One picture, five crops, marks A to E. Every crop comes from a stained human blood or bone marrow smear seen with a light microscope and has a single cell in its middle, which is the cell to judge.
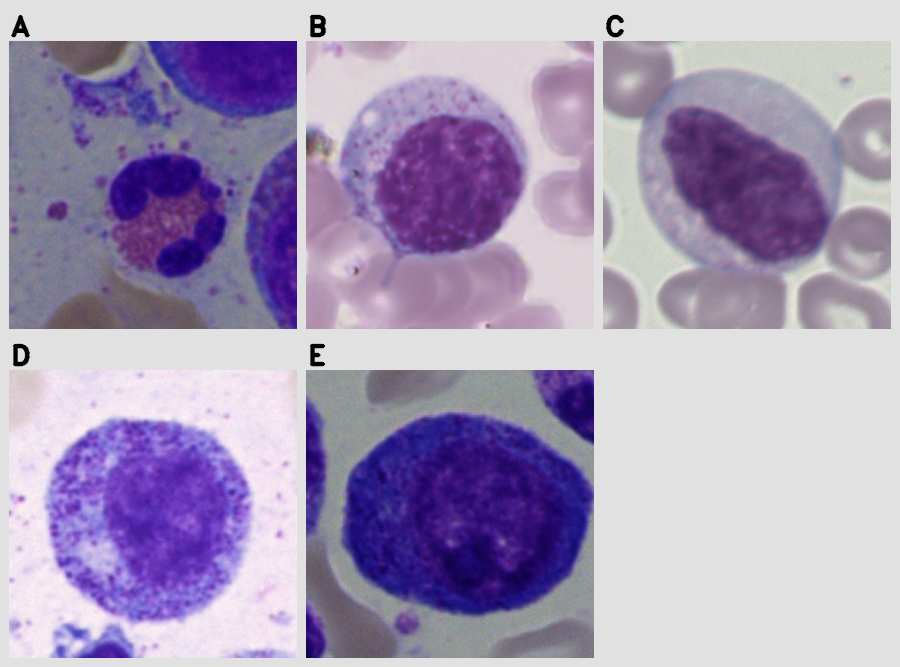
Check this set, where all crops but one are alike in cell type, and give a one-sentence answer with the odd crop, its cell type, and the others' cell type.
Crop A breaks the pattern as an eosinophil; the other crops all contain promyelocytes.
